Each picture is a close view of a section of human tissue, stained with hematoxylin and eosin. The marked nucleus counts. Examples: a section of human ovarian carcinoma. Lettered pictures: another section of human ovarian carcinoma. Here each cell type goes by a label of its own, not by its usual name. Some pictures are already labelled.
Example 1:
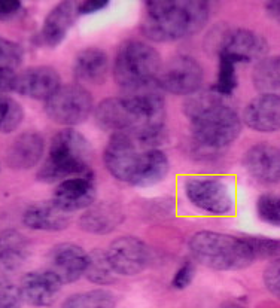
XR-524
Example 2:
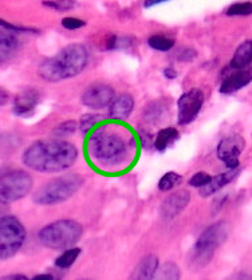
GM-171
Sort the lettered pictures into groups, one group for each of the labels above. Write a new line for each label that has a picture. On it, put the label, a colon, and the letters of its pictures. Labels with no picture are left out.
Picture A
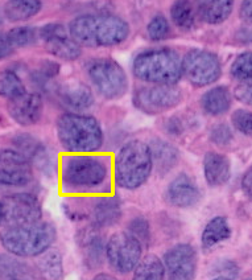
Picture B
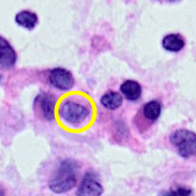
XR-524: B
GM-171: A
